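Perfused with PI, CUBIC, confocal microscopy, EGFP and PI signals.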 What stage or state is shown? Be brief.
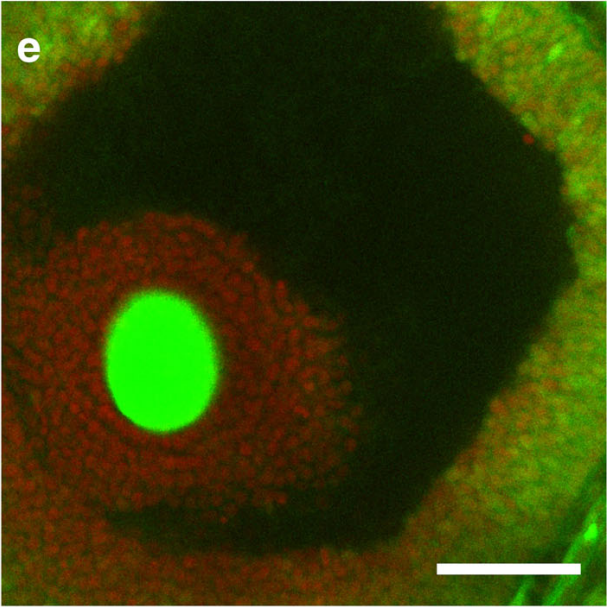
Mature antral follicle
